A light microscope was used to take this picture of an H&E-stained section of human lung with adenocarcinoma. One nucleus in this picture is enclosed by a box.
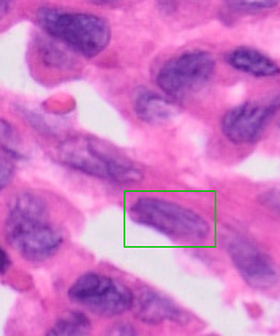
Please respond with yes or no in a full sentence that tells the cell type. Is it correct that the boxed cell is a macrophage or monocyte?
No, the boxed cell is scored as a carcinoma cell and not as a macrophage or monocyte.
